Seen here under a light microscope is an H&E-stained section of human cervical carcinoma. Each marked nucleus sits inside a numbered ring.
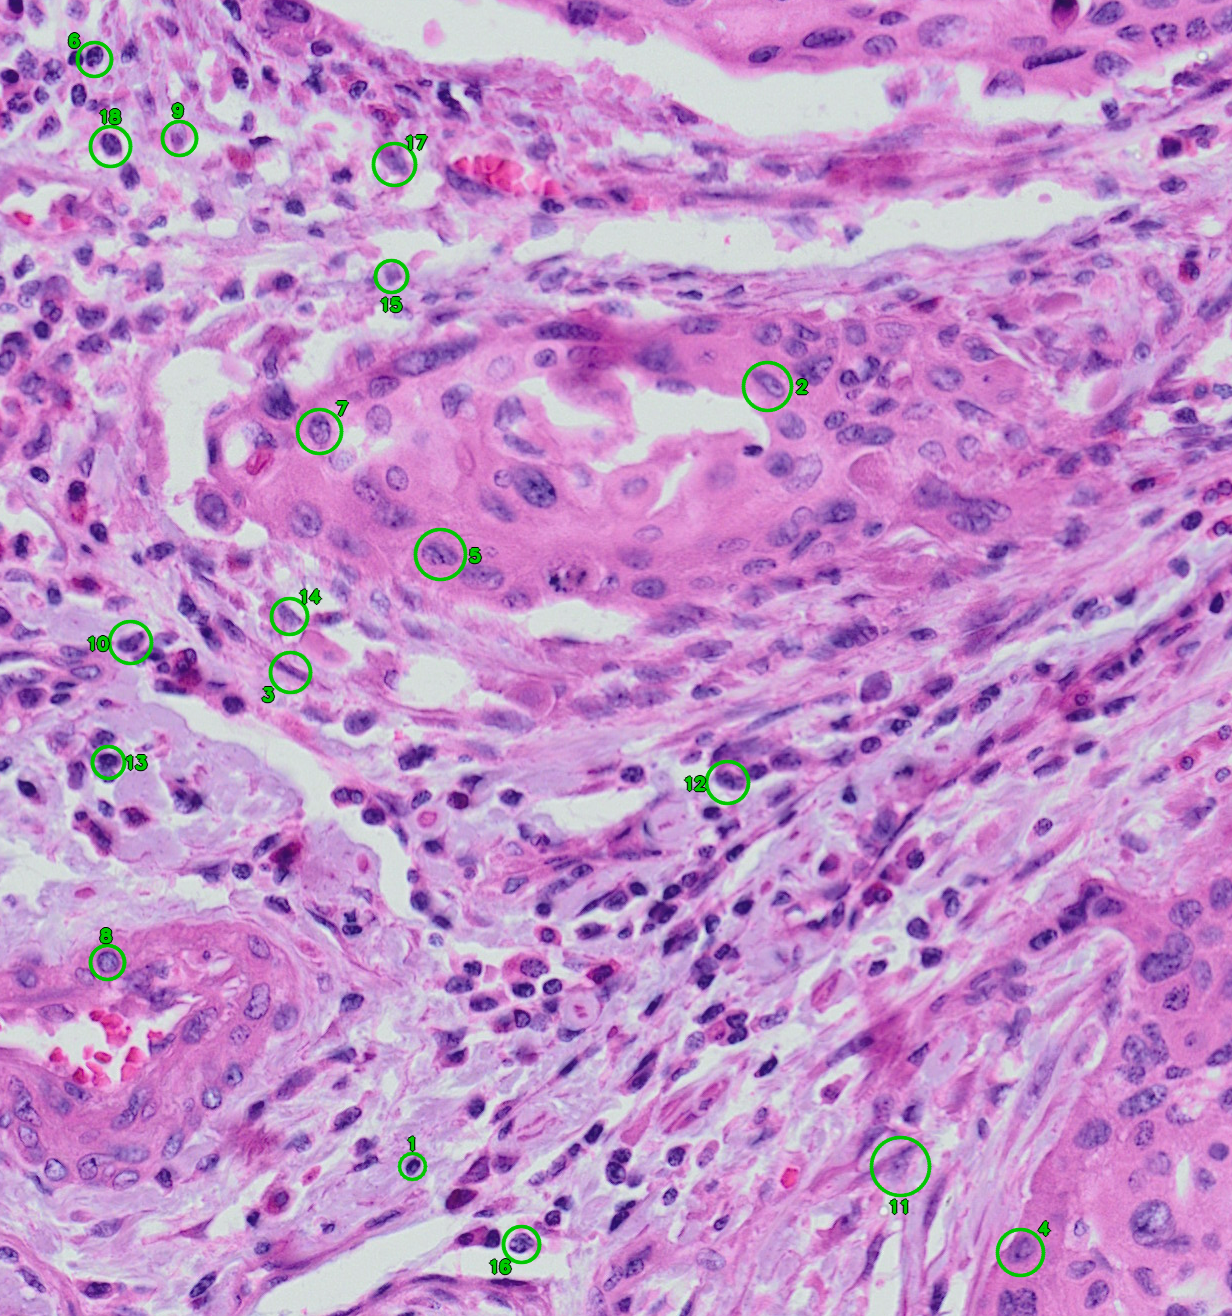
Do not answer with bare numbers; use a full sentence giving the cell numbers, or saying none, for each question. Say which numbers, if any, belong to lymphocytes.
Cells 1, 6, 10, 12, 13, 16 and 18 are lymphocytes by cell type.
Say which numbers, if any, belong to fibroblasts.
The cells marked with the numbers 3, 9, 11, 14, 15 and 17 are fibroblasts.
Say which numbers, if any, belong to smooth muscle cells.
Cell 8 stands alone among the numbered cells as a smooth muscle cell.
